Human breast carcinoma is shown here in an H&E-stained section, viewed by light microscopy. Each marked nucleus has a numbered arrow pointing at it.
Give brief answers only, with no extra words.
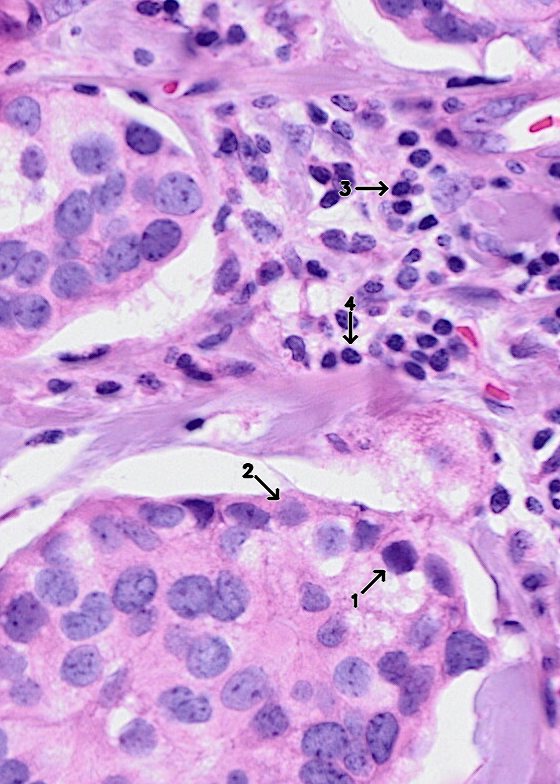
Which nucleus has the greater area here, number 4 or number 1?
1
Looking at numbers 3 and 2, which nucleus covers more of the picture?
2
